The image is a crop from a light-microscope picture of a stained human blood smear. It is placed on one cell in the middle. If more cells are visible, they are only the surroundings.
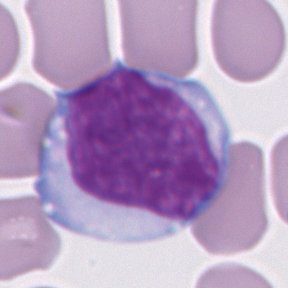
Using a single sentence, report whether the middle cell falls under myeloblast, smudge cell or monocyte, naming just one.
At the crop's centre, the cell is a myeloblast.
